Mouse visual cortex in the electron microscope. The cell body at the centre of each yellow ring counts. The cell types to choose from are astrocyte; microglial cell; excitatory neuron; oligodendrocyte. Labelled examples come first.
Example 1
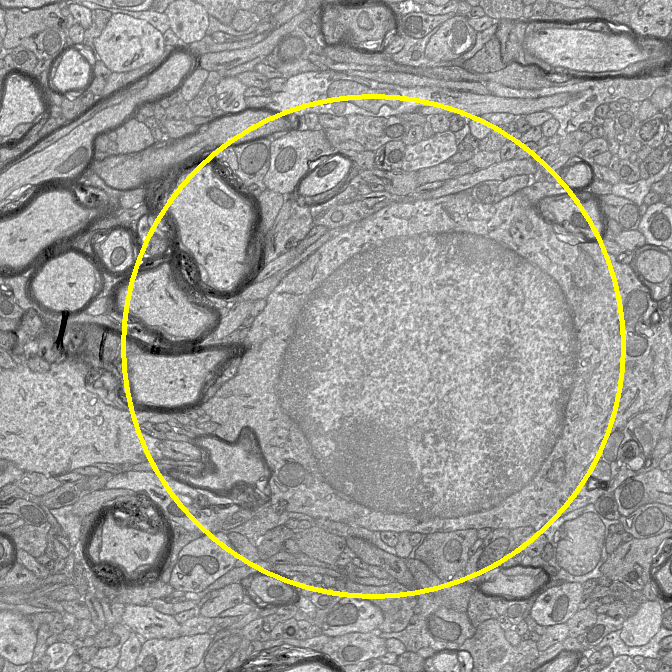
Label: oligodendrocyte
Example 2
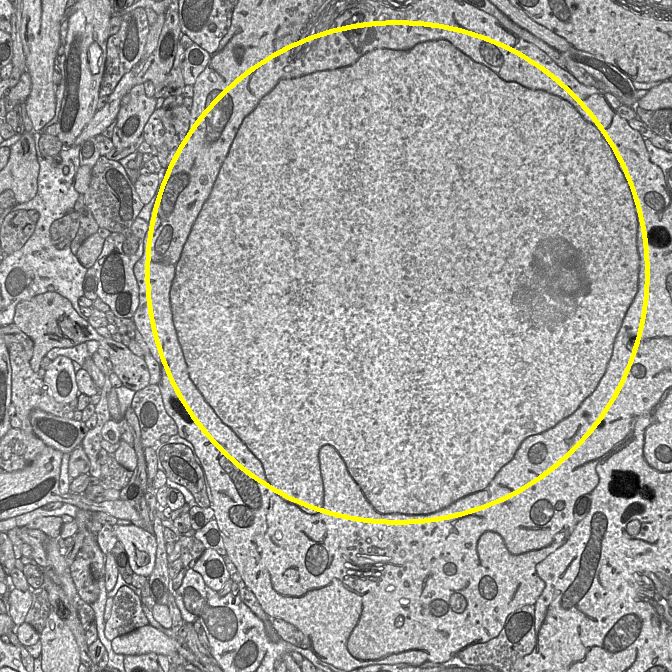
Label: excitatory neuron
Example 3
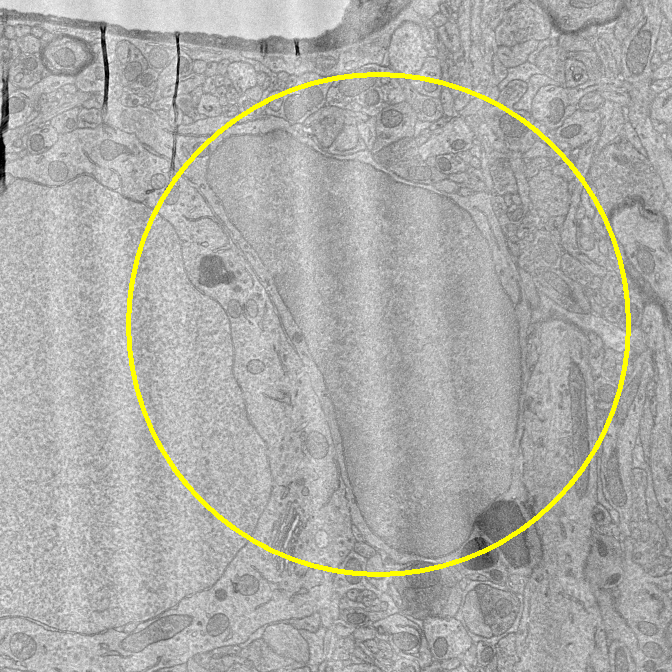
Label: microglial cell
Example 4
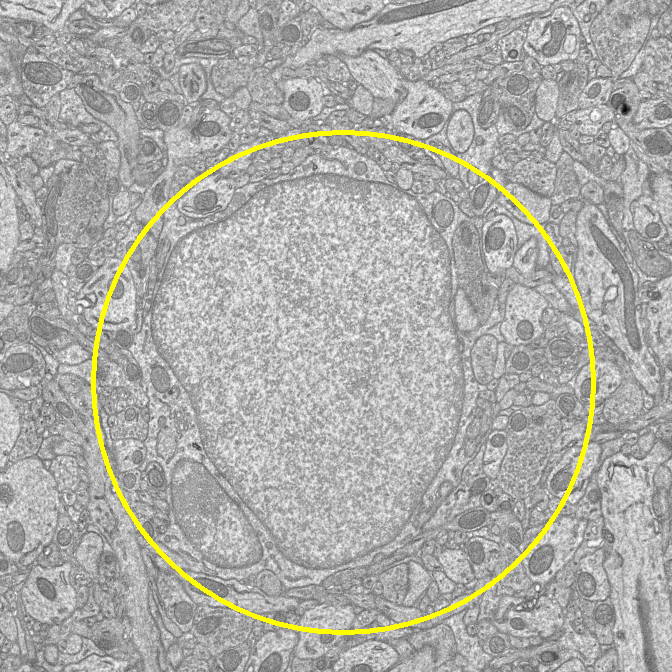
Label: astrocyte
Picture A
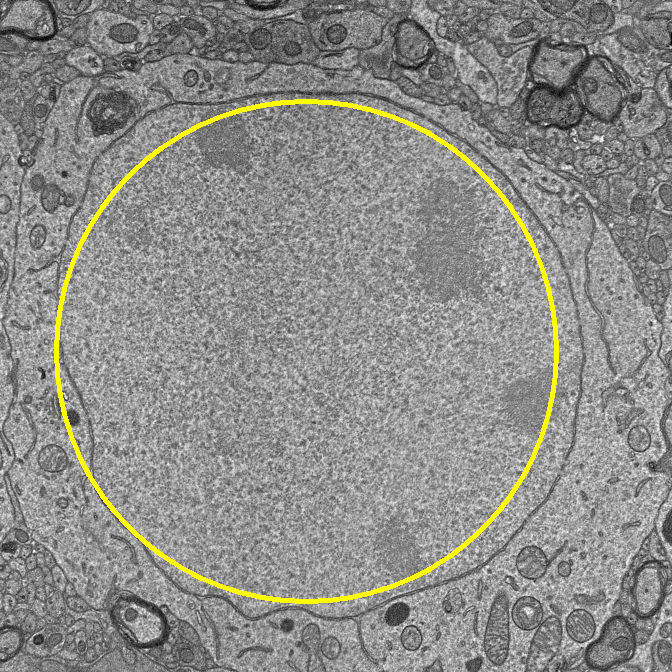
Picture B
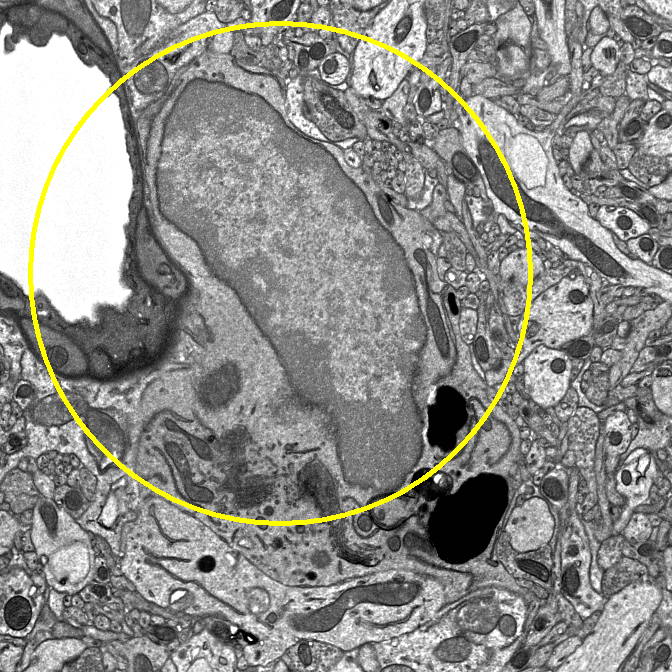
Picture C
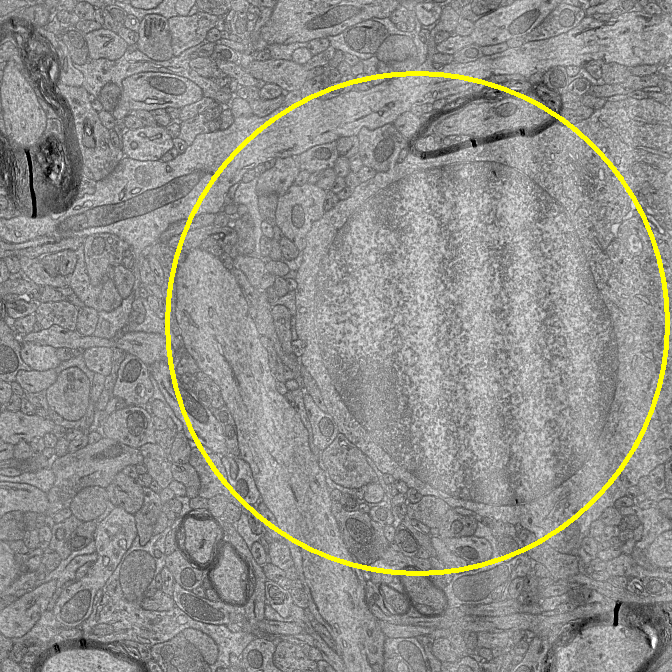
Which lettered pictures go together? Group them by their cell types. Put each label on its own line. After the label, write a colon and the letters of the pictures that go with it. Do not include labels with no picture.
microglial cell: B
excitatory neuron: A
oligodendrocyte: C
